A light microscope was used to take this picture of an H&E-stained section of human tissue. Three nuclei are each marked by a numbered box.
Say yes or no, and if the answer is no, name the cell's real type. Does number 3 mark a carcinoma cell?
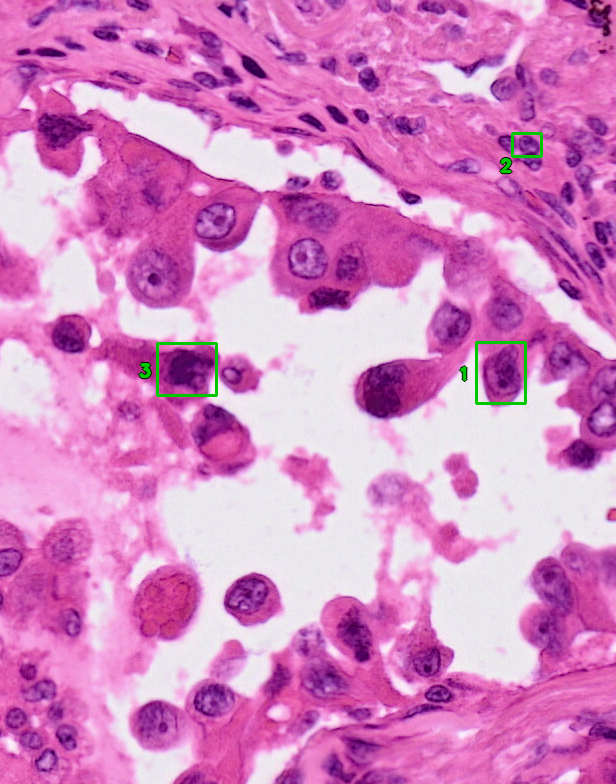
Yes.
